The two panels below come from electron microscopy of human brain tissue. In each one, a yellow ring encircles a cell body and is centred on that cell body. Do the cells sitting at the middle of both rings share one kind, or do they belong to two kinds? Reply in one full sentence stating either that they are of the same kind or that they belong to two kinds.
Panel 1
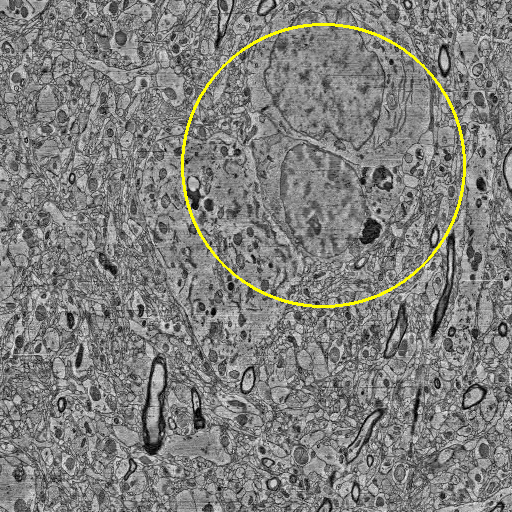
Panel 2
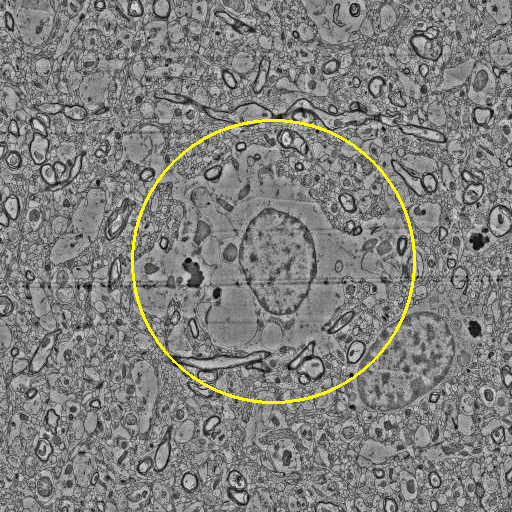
The cells at the centres of the two rings belong to two kinds.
